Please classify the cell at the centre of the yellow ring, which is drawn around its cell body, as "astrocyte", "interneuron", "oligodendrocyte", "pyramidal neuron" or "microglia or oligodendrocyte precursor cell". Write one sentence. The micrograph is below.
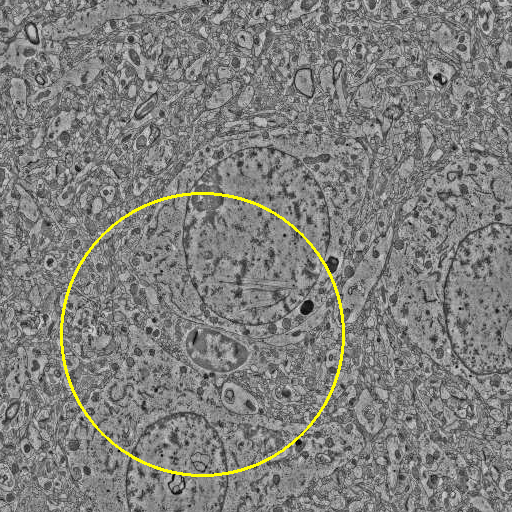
The cell at the ring's centre is classified as a microglial cell or oligodendrocyte precursor cell.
